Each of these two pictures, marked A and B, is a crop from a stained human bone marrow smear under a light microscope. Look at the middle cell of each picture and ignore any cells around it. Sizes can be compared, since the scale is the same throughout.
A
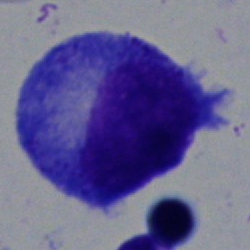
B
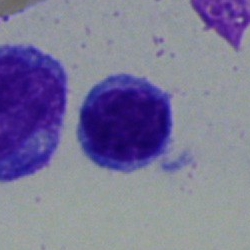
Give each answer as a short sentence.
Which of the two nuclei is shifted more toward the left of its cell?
The nucleus in crop B lies further toward the left of its cell.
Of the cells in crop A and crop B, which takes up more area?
The cell in crop A is larger, with about 3 times the area of the one in crop B.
